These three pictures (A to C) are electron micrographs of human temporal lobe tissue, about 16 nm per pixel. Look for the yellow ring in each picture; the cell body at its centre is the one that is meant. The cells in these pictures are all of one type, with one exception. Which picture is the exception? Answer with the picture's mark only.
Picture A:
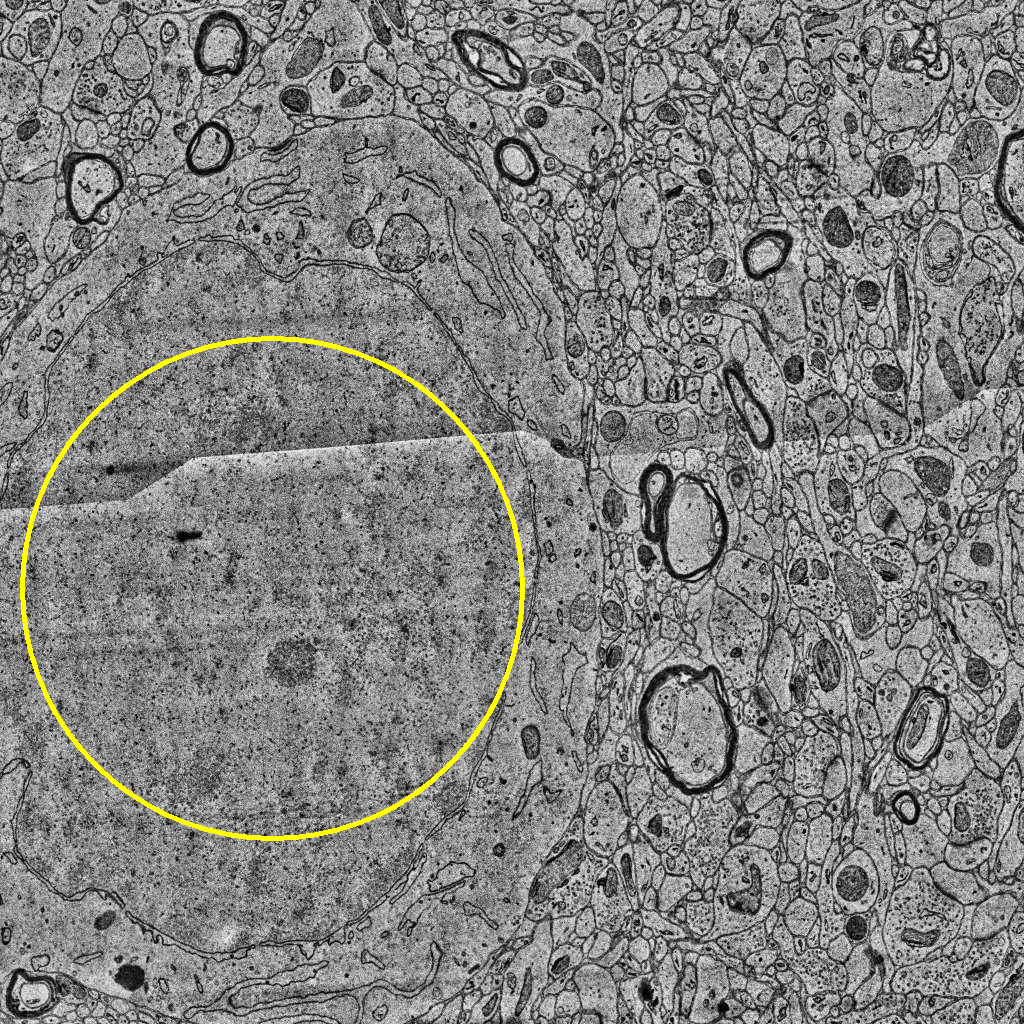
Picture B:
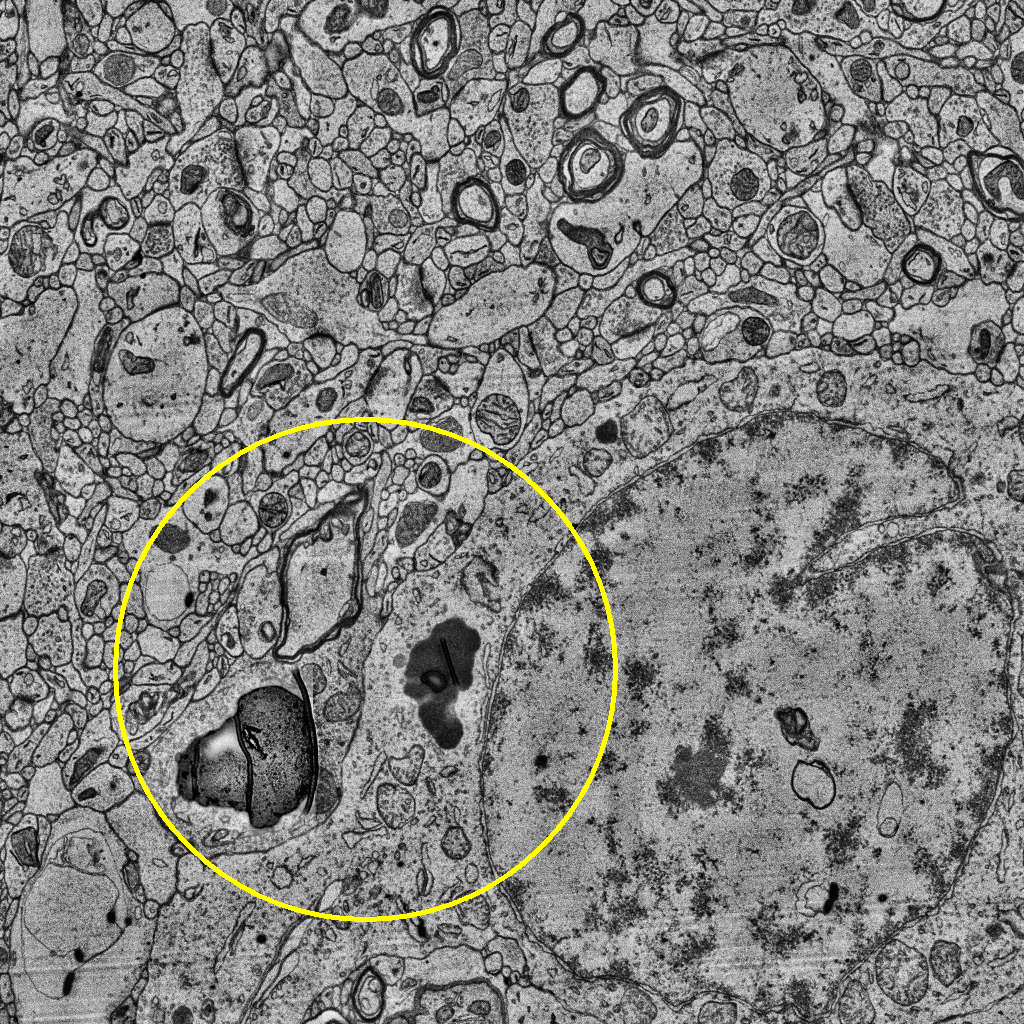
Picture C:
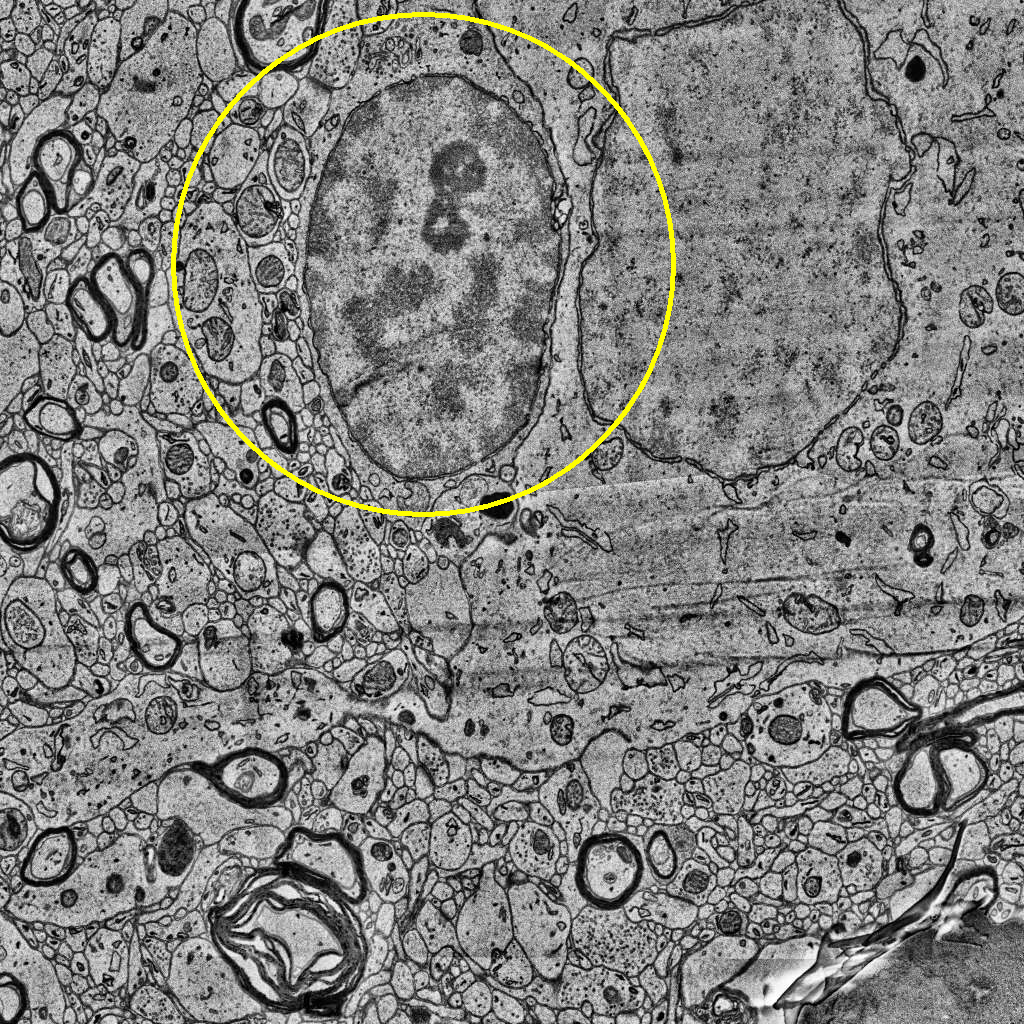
A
